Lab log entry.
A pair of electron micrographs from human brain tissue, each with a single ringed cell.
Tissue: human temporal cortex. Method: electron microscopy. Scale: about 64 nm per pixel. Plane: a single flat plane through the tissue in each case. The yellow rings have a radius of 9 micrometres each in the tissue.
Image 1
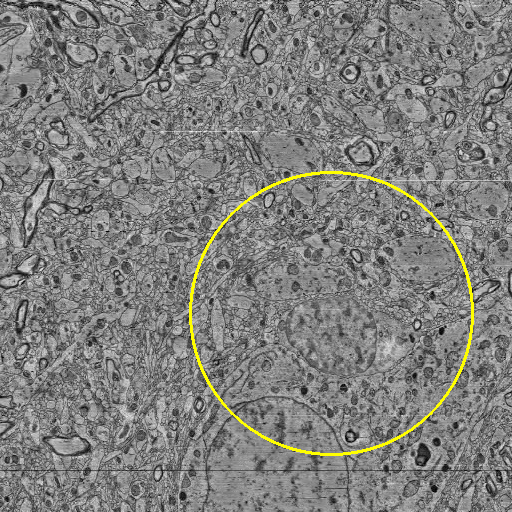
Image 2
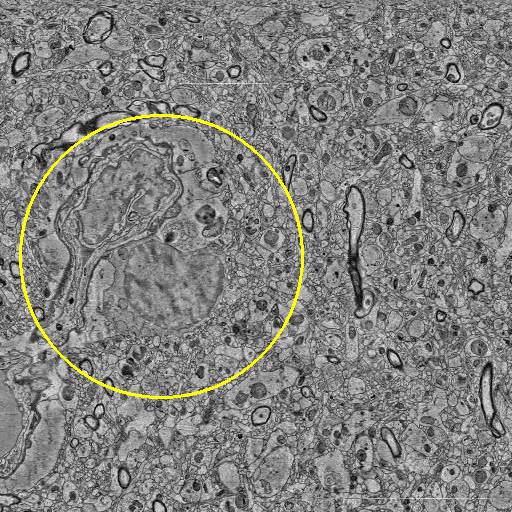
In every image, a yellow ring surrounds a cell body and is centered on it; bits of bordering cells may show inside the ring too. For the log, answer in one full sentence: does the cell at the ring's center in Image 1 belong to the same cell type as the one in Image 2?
Yes, the cells at the ring centers in Image 1 and Image 2 share one type.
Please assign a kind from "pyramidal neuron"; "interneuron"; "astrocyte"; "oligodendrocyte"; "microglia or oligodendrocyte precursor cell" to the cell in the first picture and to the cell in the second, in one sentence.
Each of the two rings is centred on an oligodendrocyte.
